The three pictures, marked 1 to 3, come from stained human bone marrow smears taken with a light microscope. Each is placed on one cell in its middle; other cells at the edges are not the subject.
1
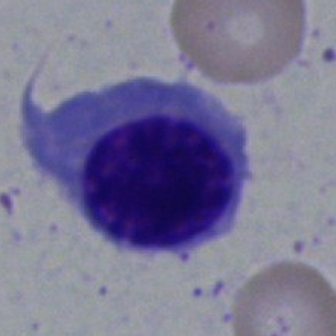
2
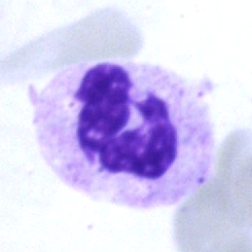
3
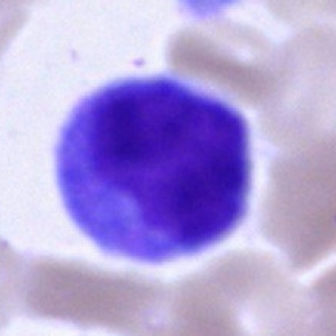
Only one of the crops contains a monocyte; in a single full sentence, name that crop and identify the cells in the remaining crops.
The cell sitting in crop 3 is a monocyte, while crop 1 is an erythroblast and crop 2 is a segmented neutrophil.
